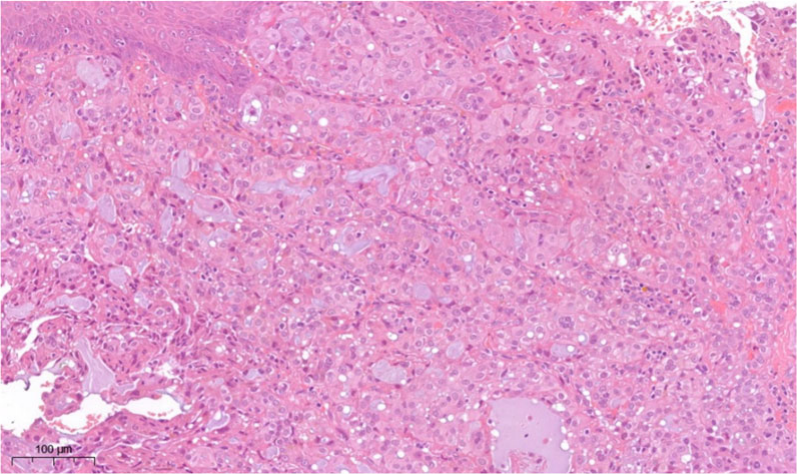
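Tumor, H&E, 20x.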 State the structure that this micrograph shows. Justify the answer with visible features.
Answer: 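Groups of closely packed polygonal cells are divided by thin pink strands. The thin strands contain elongated, spindle-shaped nuclei.
Conclusion: thin fibrous septa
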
